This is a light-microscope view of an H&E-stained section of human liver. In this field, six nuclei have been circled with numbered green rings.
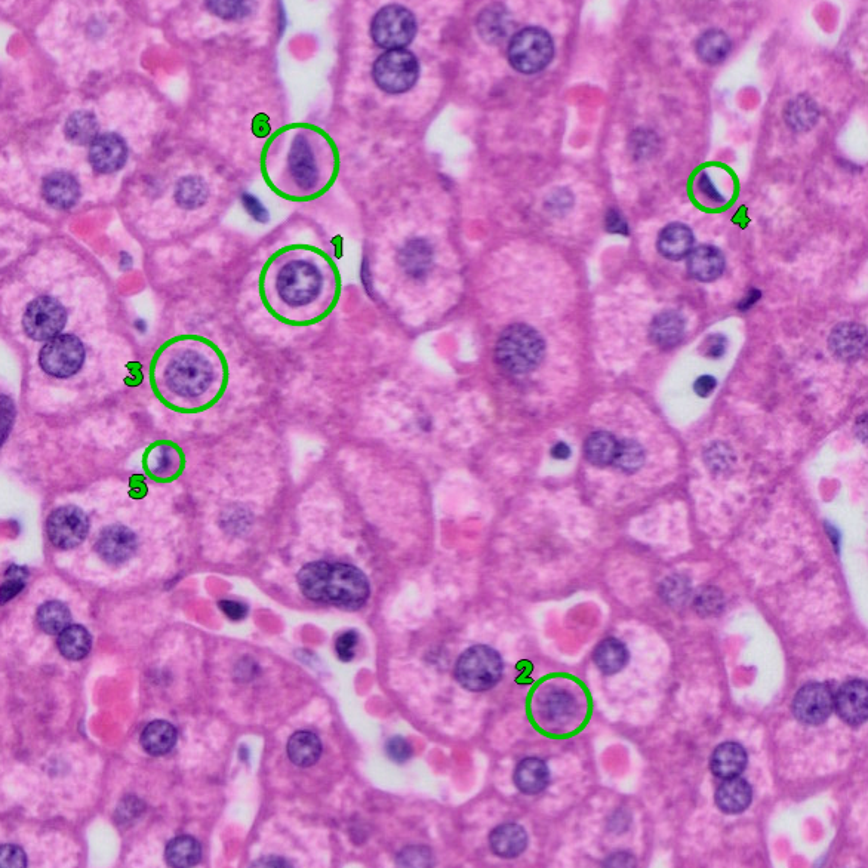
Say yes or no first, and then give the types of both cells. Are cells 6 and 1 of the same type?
No, while cell 6 is a Kupffer cell, cell 1 is a hepatocyte.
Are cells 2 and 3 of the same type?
Yes, cells 2 and 3 are both recognised as hepatocytes.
